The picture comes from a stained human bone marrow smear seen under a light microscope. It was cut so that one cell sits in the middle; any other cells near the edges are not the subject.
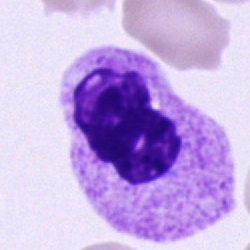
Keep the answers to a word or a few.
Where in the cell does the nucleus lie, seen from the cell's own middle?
upper left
